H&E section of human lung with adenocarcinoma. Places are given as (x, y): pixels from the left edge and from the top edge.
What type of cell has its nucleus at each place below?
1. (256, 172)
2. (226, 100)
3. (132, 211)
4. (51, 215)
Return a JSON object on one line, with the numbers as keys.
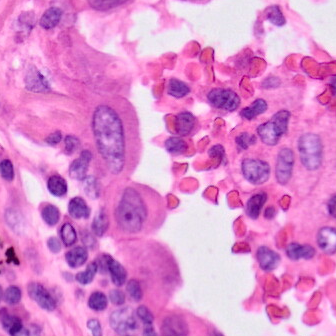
{"1": "macrophage or monocyte", "2": "macrophage or monocyte", "3": "carcinoma cell", "4": "lymphocyte"}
